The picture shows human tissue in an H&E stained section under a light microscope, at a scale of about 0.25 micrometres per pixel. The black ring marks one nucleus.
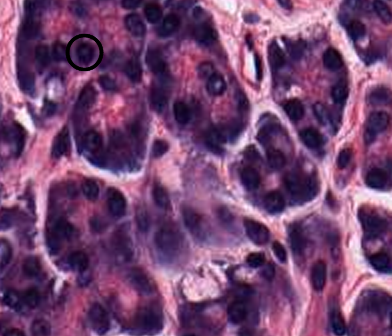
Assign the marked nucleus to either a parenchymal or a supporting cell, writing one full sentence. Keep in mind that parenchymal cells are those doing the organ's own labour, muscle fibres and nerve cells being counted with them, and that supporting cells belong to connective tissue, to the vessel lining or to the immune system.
The marked nucleus is the nucleus of a parenchymal cell, namely a pancreatic acinar cell.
